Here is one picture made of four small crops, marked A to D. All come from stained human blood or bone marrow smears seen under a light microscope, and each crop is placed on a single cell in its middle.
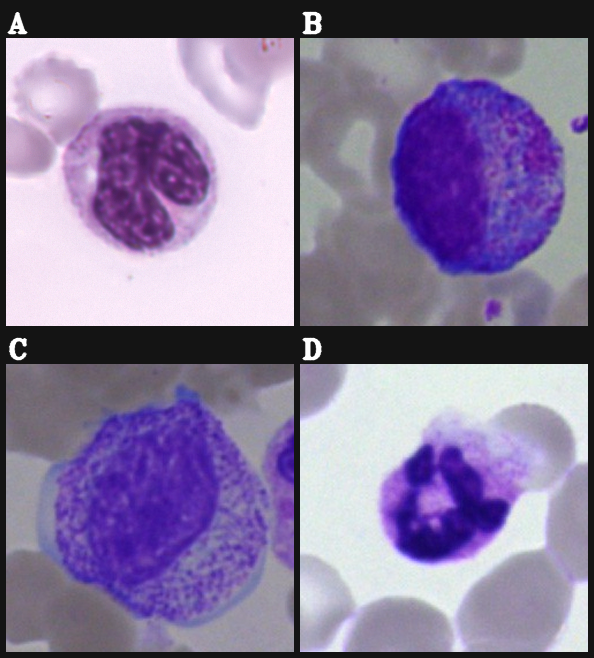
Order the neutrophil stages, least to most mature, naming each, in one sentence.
Ordered by maturation stage, least mature first, these are crop B (a promyelocyte), crop C (a myelocyte), crop A (a band neutrophil) and crop D (a segmented neutrophil).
